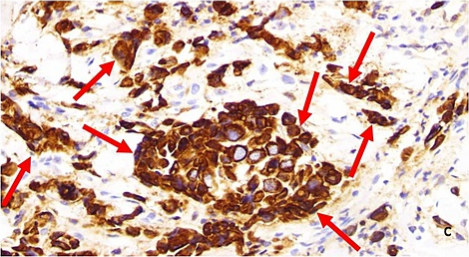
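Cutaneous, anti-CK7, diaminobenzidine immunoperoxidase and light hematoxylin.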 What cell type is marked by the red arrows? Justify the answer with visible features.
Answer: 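The arrowed cells have strong brown cytoplasm. They form clusters and cords within pale loose stroma. Surrounding spindle-shaped stromal cells are unstained.
Hence: tumor cells.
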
